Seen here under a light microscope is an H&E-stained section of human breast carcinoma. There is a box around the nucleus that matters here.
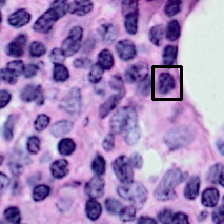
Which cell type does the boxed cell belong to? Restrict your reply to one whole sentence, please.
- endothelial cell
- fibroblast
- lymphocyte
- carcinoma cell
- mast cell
Microscopically, the boxed cell is categorized as a lymphocyte.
